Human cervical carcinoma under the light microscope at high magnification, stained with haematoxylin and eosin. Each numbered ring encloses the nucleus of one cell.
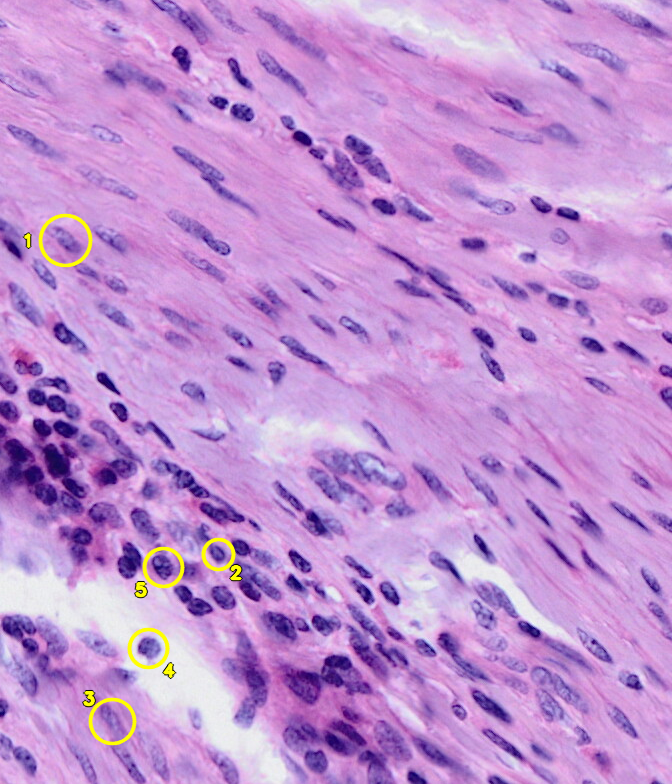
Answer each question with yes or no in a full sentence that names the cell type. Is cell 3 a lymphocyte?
No, it is a smooth muscle cell, not a lymphocyte, at number 3.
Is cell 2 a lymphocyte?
Yes, the cell that bears number 2 is a lymphocyte.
